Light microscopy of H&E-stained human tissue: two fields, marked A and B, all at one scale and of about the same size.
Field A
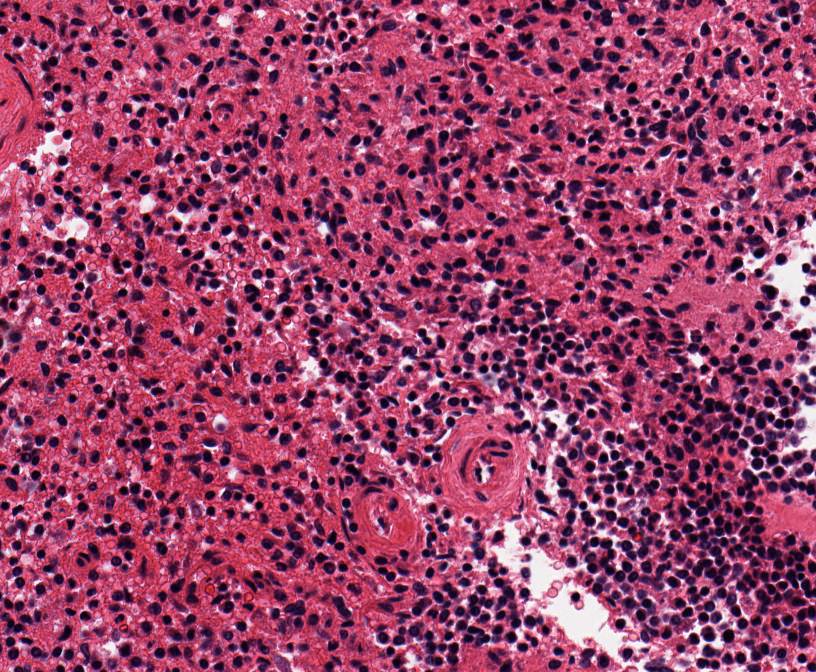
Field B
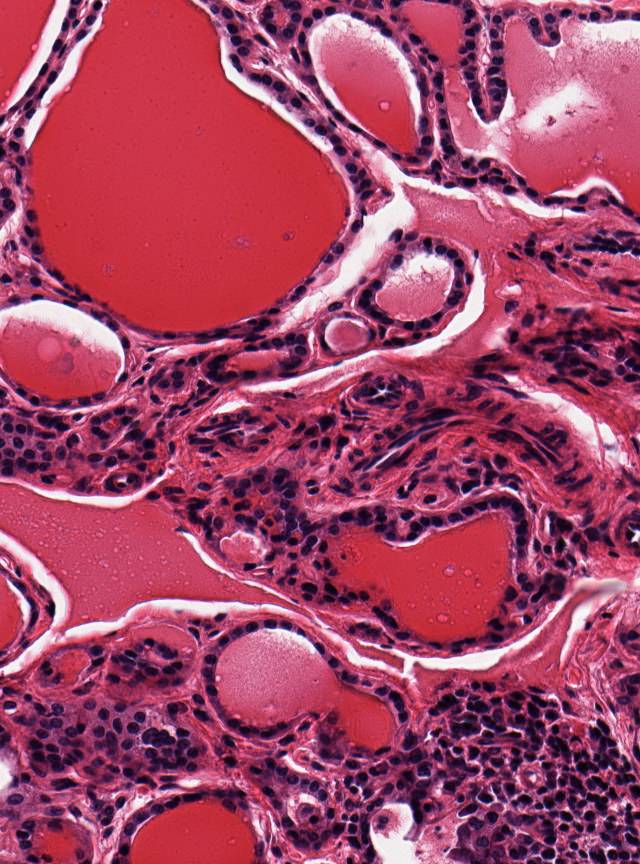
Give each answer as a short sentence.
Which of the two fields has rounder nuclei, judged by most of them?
The nuclei are rounder in field A.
